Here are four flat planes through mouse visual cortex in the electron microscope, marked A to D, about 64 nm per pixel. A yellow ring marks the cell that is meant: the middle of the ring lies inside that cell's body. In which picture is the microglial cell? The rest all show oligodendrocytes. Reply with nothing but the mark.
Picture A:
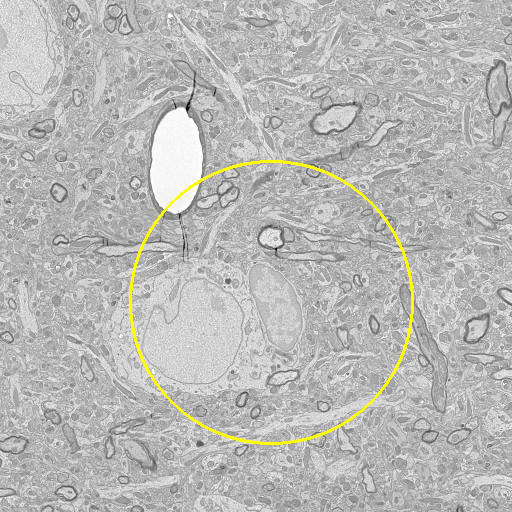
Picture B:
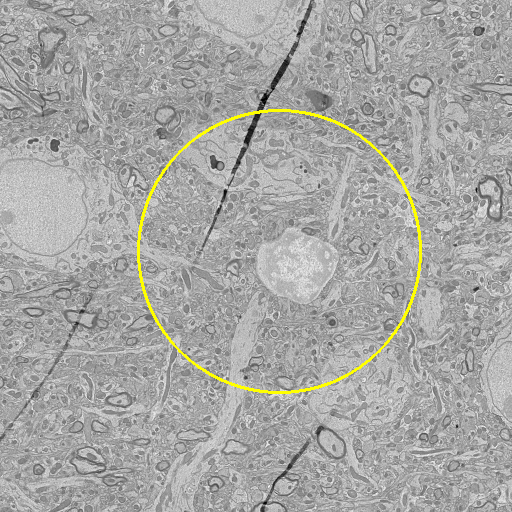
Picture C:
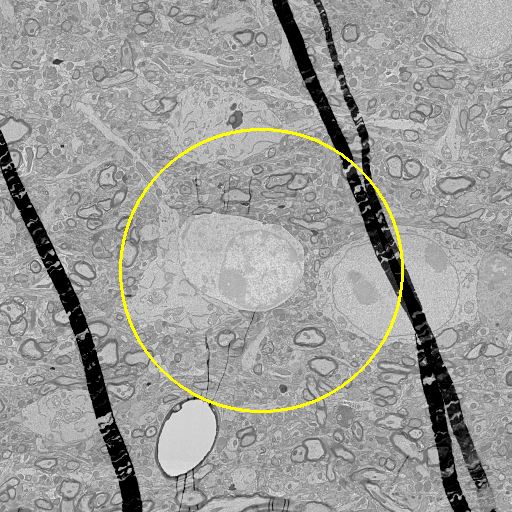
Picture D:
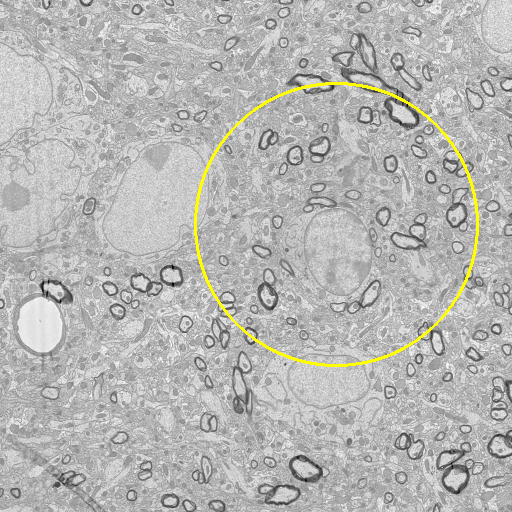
A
